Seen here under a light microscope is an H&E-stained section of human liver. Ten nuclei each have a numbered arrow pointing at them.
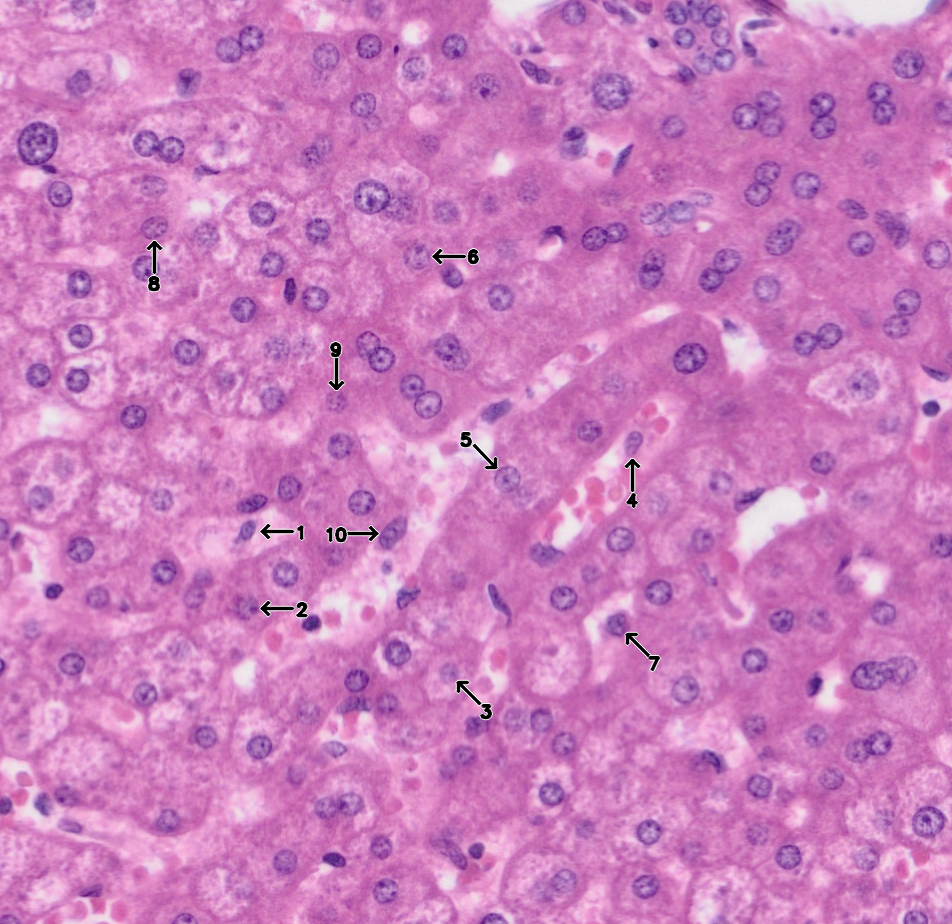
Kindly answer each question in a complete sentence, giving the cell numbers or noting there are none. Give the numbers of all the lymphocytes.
In contrast to the remaining marked cells, cell 1 is a lymphocyte.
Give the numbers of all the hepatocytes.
The cells marked with the numbers 2, 3, 5, 6, 8 and 9 are hepatocytes.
